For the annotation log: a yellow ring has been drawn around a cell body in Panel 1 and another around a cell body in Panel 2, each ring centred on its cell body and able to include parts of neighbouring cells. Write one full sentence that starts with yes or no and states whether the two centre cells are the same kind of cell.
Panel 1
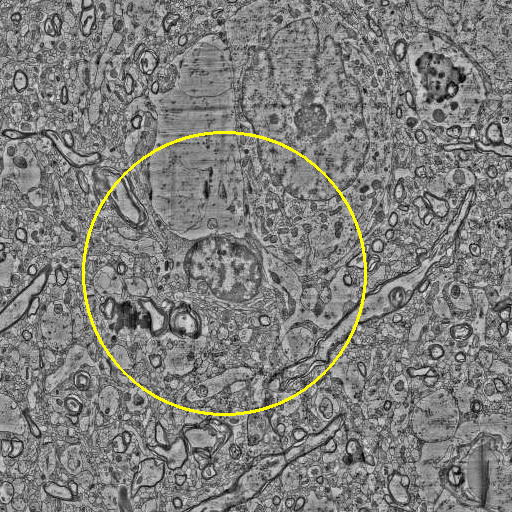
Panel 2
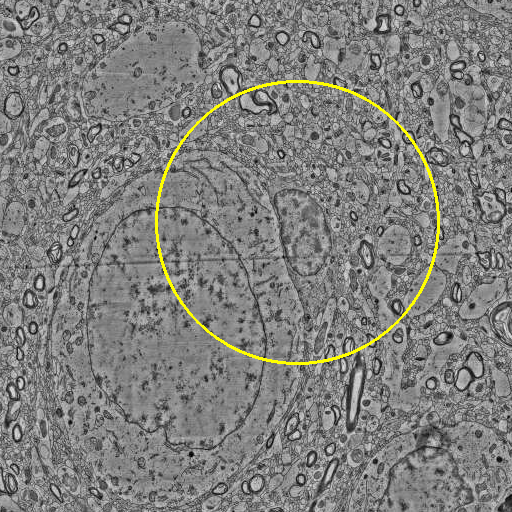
Yes, the two centre cells are the same kind of cell.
